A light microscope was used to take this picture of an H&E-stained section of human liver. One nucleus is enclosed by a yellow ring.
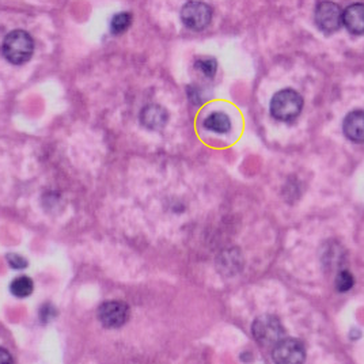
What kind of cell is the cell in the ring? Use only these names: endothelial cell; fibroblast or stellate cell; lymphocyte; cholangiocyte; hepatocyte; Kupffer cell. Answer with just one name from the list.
lymphocyte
